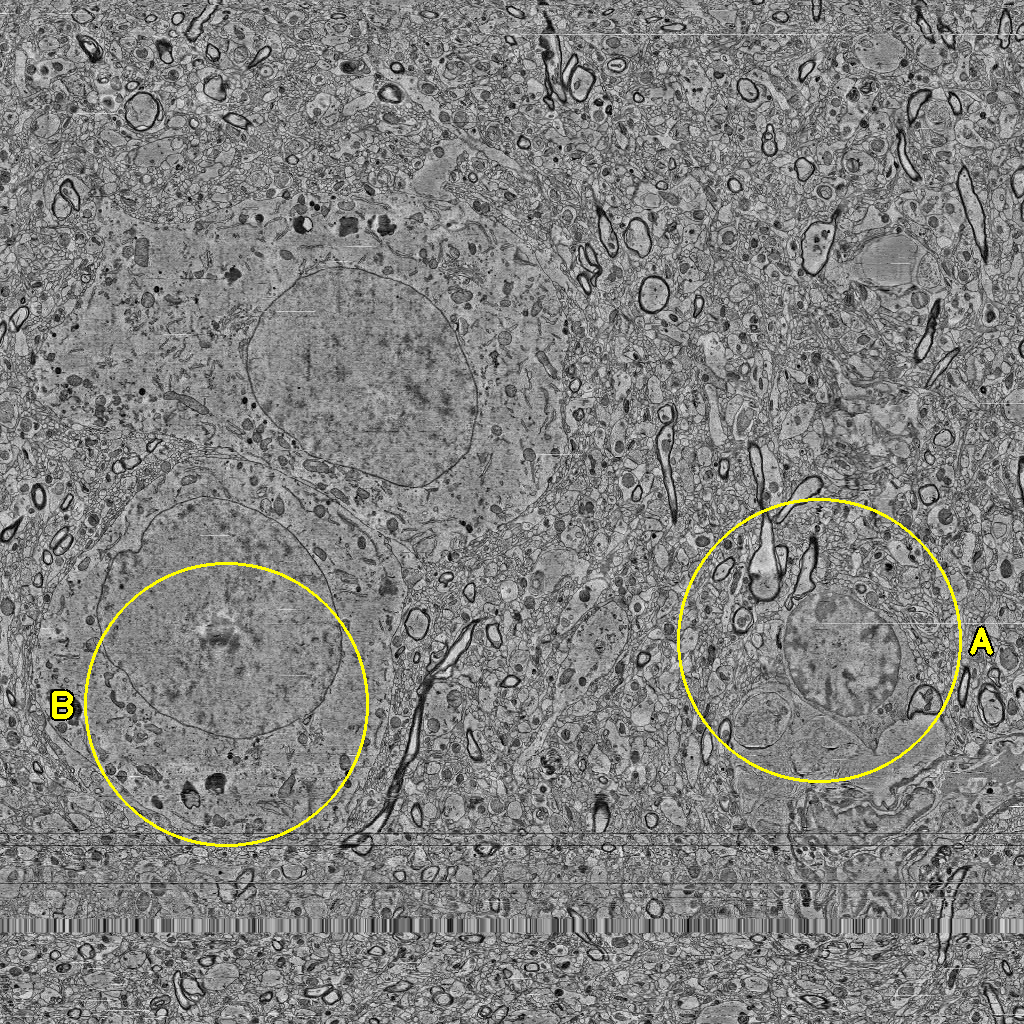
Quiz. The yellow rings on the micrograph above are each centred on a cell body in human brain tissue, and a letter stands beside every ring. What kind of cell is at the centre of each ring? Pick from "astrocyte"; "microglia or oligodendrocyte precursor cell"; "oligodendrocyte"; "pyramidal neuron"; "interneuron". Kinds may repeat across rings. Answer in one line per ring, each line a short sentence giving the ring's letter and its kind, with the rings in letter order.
The ring labelled A has an oligodendrocyte at its centre.
The ring labelled B has a pyramidal neuron at its centre.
